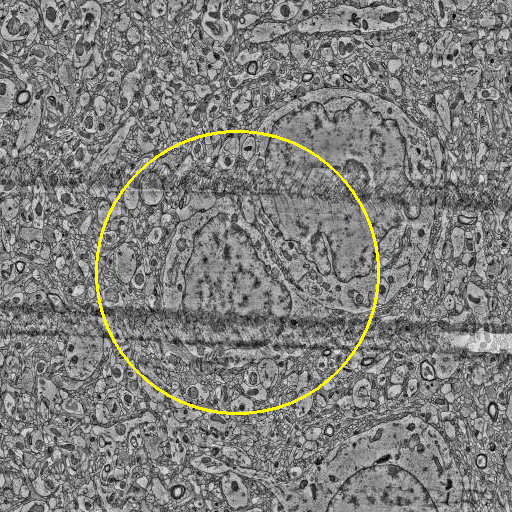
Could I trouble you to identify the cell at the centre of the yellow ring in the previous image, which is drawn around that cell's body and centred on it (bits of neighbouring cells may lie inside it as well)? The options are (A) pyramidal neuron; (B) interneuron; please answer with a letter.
B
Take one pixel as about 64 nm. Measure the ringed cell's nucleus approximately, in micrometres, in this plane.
About 9 by 7 micrometers, in this plane.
